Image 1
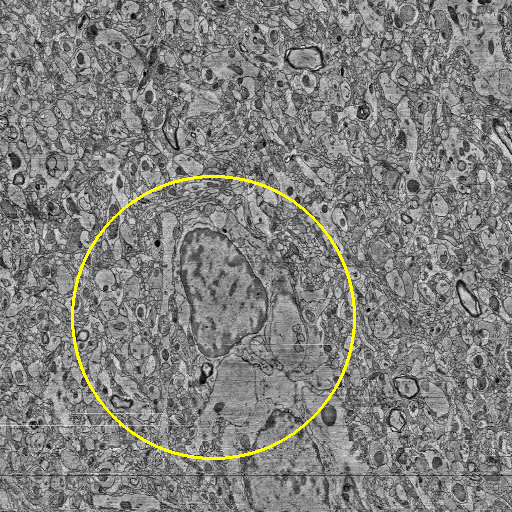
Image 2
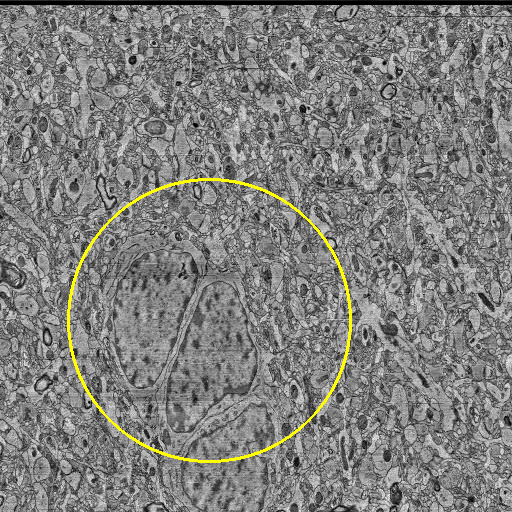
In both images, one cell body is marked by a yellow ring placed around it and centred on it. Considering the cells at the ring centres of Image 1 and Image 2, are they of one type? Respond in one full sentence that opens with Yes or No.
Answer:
Yes, a single type applies to the ring-centred cells of both Image 1 and Image 2.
